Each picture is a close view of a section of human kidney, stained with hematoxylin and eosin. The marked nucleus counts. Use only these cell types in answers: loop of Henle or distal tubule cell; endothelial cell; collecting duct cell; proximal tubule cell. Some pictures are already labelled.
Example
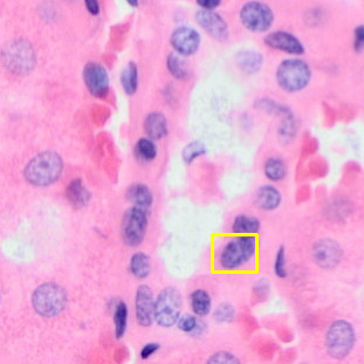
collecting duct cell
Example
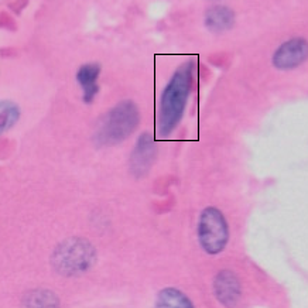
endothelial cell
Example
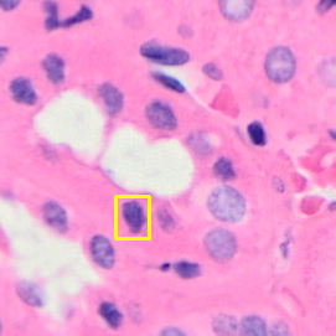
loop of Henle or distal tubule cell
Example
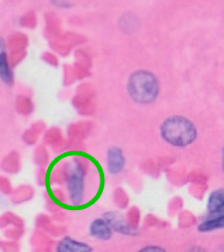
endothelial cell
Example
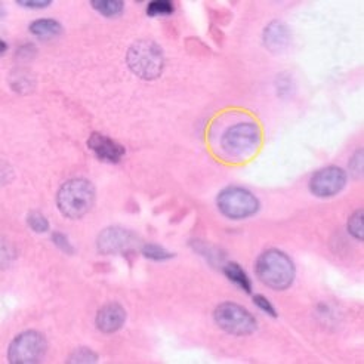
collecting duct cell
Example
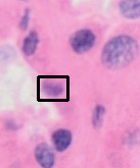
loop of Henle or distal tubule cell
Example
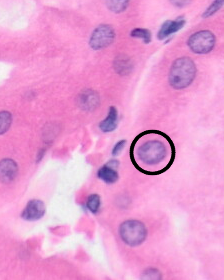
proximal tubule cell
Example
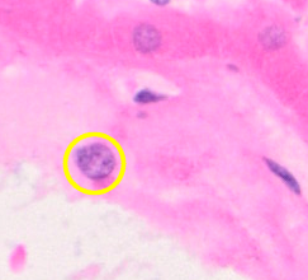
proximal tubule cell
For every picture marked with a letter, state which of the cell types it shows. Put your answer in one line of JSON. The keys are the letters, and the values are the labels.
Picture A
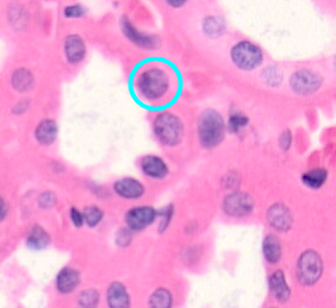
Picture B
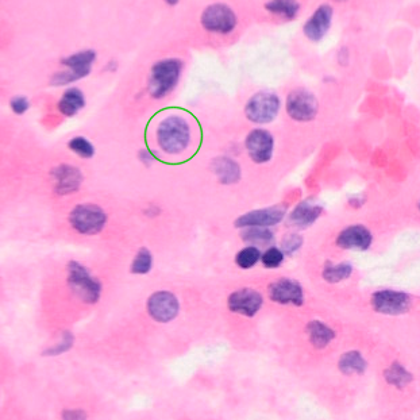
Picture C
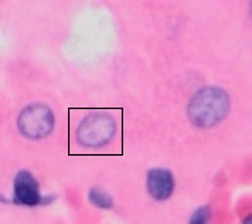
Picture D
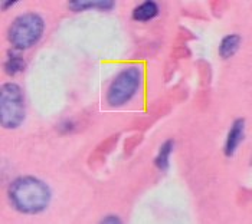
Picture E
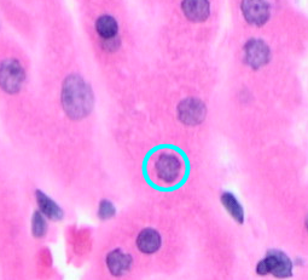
{"A": "loop of Henle or distal tubule cell", "B": "loop of Henle or distal tubule cell", "C": "proximal tubule cell", "D": "loop of Henle or distal tubule cell", "E": "proximal tubule cell"}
